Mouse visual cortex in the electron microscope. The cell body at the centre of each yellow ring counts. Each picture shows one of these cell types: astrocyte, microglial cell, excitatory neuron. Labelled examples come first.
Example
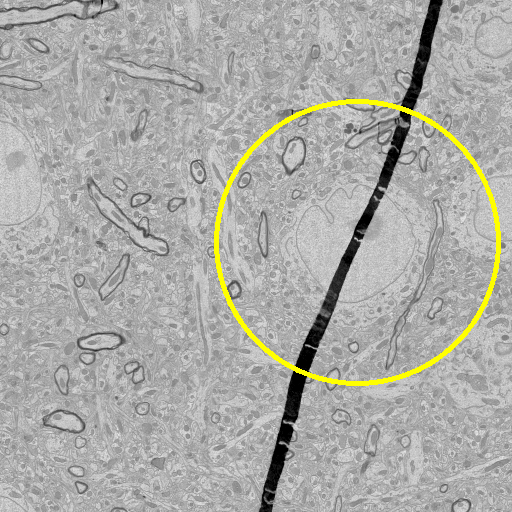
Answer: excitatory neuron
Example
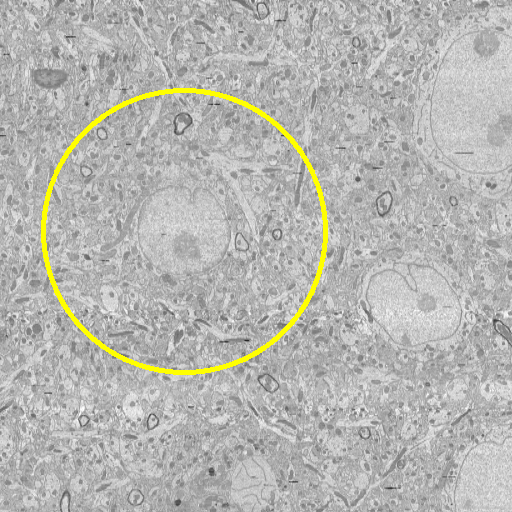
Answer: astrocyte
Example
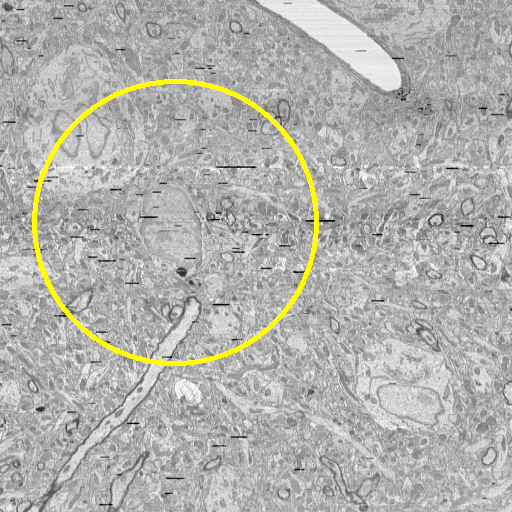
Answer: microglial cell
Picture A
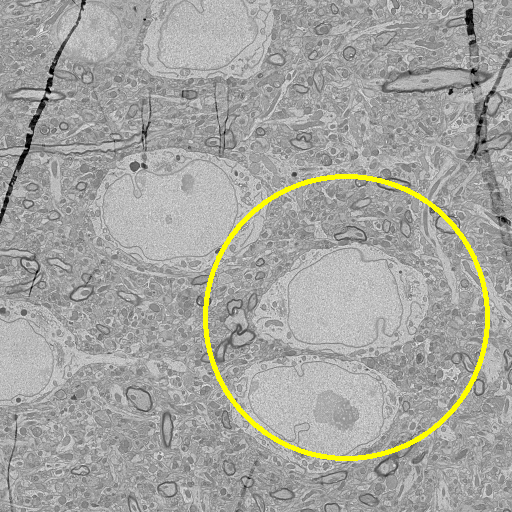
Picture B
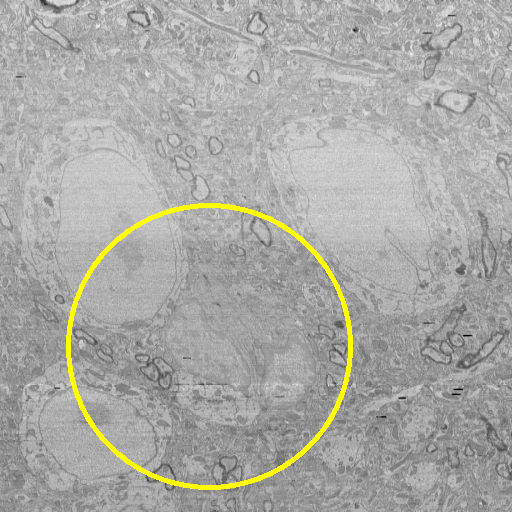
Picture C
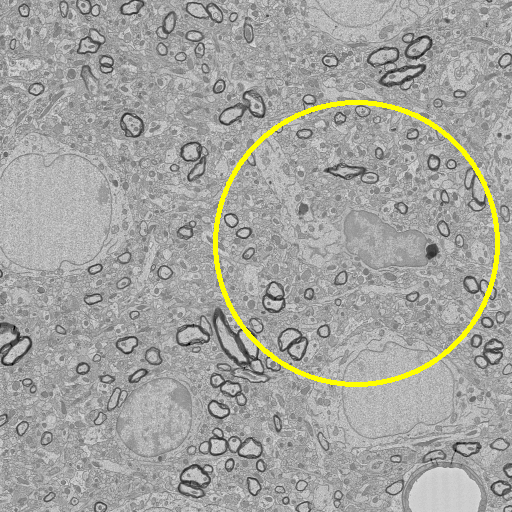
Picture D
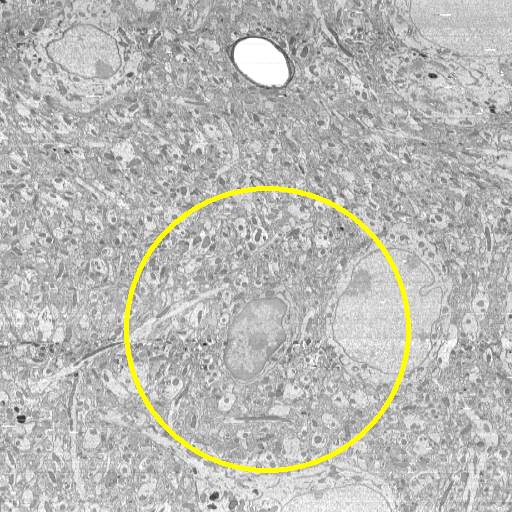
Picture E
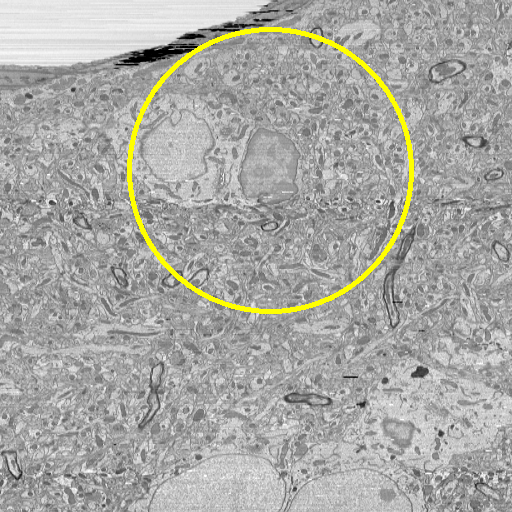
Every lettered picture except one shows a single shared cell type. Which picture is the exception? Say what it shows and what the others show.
Odd one out: A (excitatory neuron). The rest: microglial cell.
